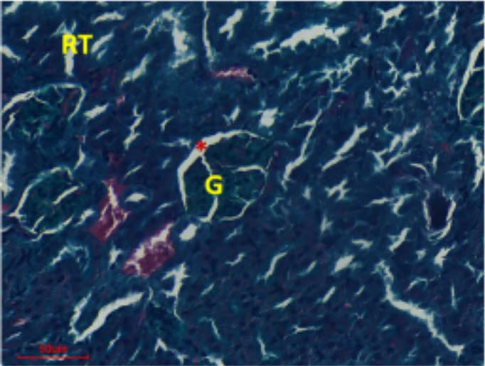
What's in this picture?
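Renal cortex stained dark blue-green, with glomerular tufts set in pale urinary spaces among densely packed tubules. The tubule lumens appear as elongated white slits, and a few red-stained vessel profiles lie in the interstitium.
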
